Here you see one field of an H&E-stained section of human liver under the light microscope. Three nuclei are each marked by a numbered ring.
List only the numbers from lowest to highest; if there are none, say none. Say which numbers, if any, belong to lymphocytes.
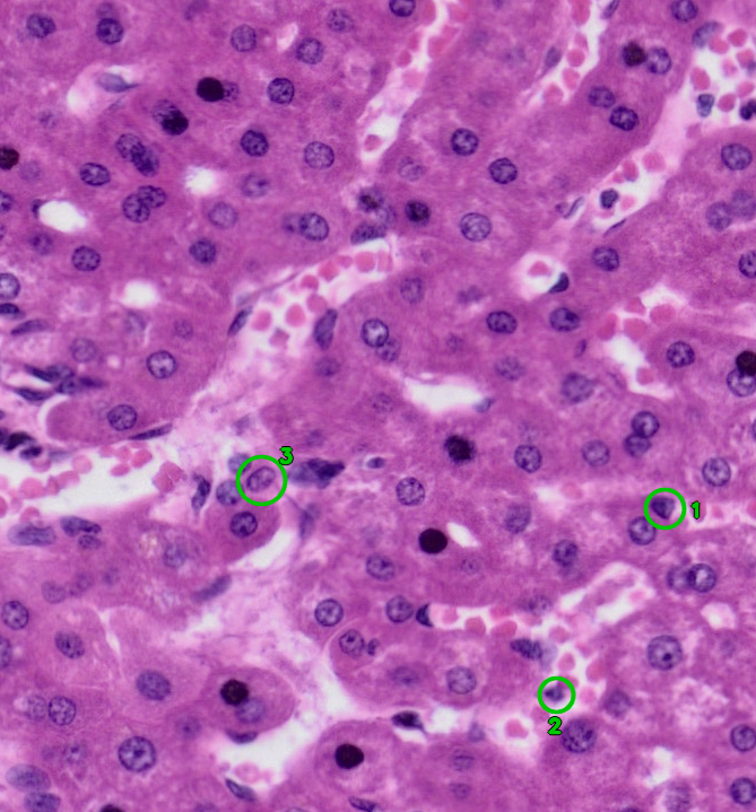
2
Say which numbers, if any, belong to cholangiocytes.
3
